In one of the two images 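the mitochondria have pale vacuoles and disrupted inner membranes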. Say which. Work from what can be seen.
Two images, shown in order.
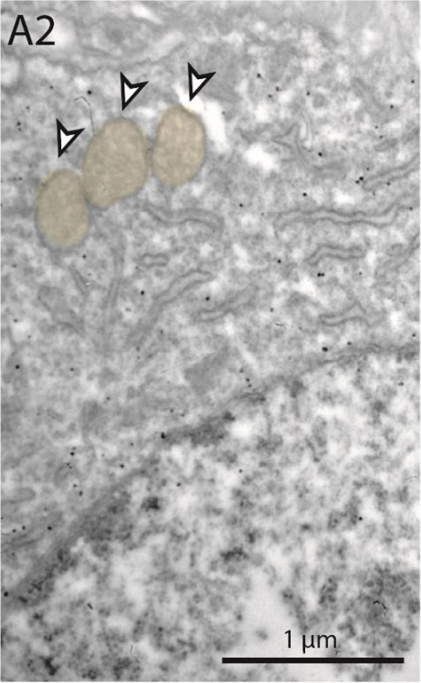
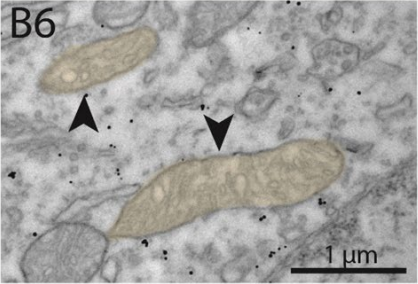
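Second image: elongated mitochondria with pale irregular spaces and fragmented inner membranes. First image: compact oval mitochondria with evenly textured interiors and visible inner folds.
Hence: the second image.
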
